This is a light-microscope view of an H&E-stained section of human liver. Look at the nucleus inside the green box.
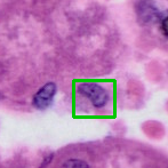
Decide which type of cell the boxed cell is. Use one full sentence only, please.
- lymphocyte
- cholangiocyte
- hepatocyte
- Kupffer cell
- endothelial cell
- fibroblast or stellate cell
In this field of tissue, the boxed cell is a Kupffer cell.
